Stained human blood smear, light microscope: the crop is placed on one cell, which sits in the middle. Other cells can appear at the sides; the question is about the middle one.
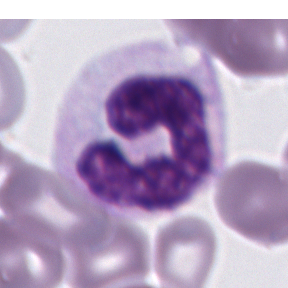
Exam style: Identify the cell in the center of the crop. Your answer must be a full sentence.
The identification for the central cell is a band neutrophil.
